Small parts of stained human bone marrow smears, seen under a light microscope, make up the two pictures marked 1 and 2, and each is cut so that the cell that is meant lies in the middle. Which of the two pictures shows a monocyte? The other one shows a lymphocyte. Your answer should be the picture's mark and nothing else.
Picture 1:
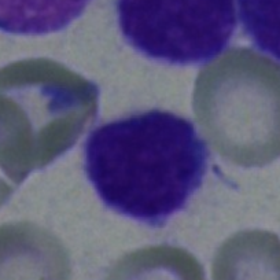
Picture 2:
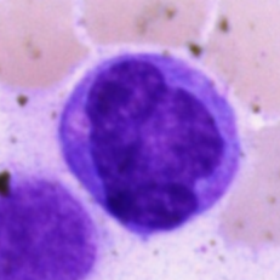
2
